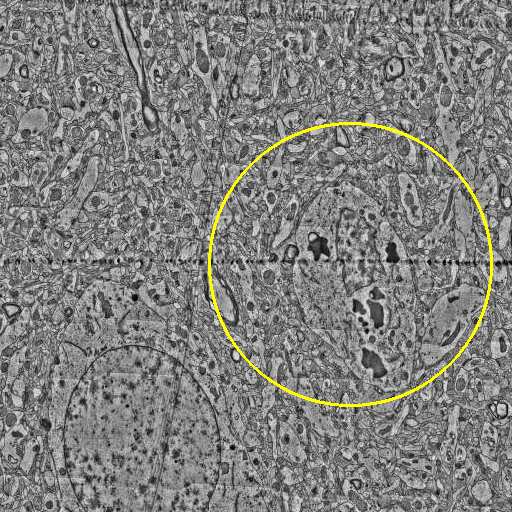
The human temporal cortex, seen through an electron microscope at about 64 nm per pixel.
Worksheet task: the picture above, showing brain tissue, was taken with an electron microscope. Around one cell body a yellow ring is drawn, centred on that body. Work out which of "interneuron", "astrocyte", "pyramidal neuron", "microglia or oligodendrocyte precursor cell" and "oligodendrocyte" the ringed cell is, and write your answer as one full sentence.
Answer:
It is an interneuron whose cell body lies at the centre of the yellow ring.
